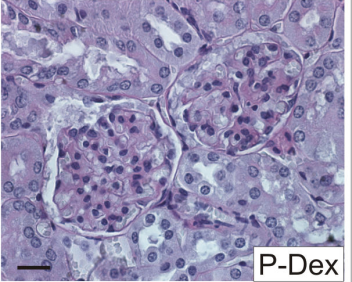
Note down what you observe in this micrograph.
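Here two glomeruli of the kidney cortex are seen, each a rounded tuft of capillary loops with many dark nuclei, sitting within a thin capsule and separated from it by a clear space. The loops are outlined by fine magenta-staining walls and the tufts do not look crowded with matrix. Around them lie cross-sections of tubules, lined by cuboidal epithelial cells with round purple nuclei and pale pink cytoplasm, some with open lumens. Small interstitial spaces run between the tubules.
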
